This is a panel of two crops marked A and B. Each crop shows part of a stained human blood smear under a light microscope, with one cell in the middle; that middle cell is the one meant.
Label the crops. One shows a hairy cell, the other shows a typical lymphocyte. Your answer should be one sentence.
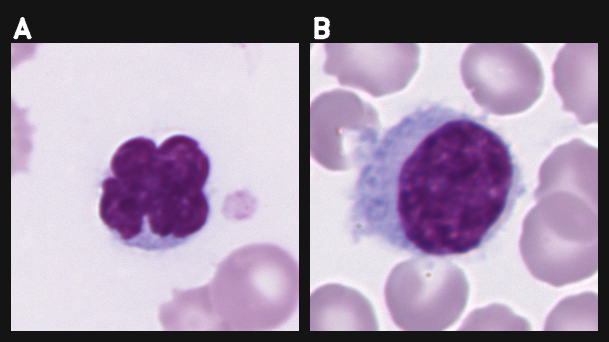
Crop A is a typical lymphocyte, while a hairy cell is the cell in crop B.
